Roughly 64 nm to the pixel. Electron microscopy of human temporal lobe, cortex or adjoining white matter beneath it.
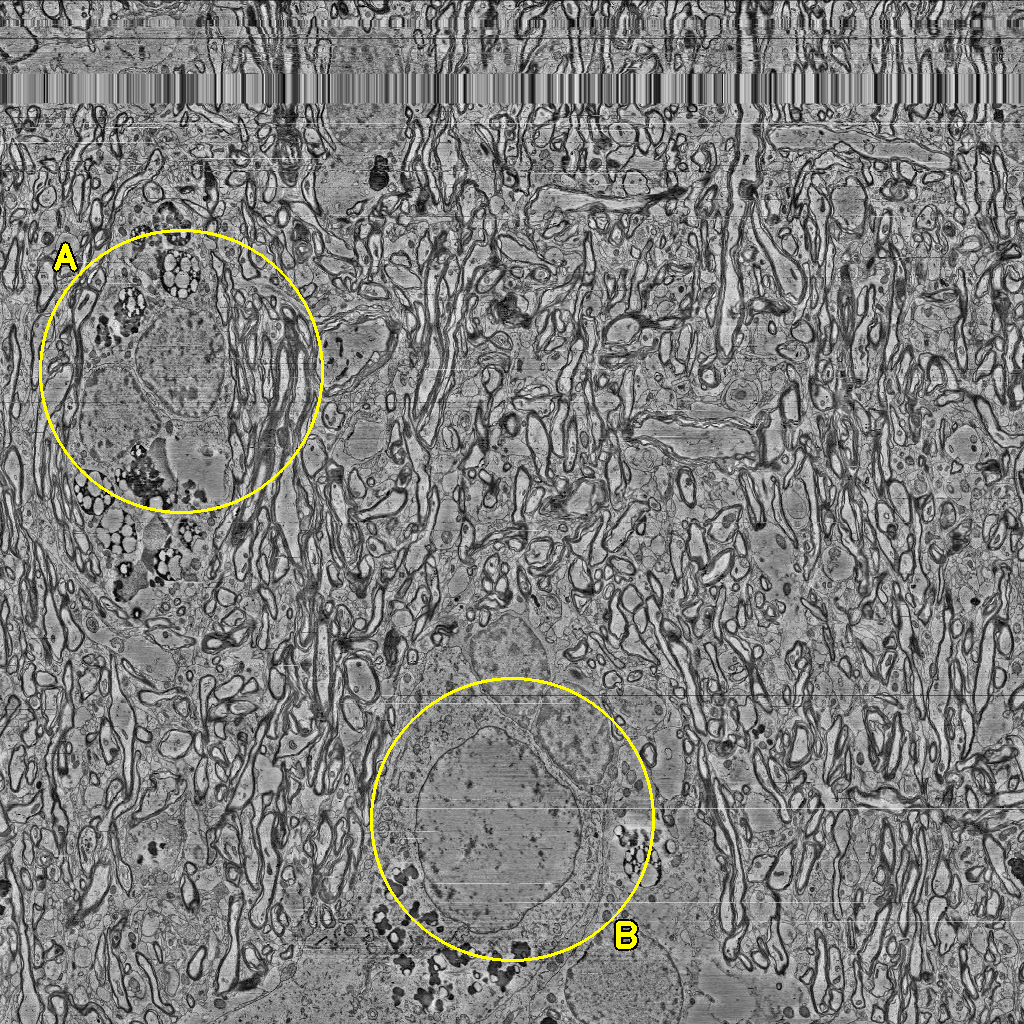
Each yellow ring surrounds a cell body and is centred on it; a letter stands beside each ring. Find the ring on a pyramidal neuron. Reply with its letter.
B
